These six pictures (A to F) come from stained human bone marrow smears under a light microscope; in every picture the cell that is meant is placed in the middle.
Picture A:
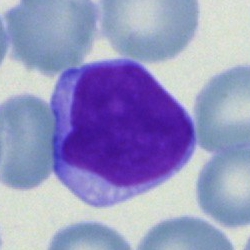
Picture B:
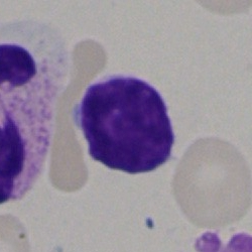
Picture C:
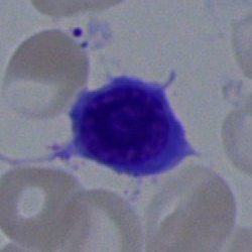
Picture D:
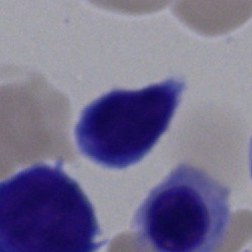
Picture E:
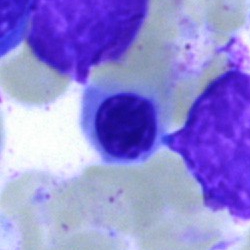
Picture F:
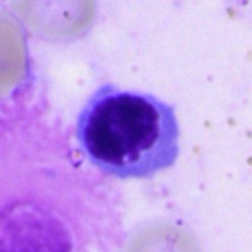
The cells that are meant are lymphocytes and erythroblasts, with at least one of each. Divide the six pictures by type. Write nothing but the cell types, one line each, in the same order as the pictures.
lymphocyte
lymphocyte
lymphocyte
lymphocyte
erythroblast
erythroblast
